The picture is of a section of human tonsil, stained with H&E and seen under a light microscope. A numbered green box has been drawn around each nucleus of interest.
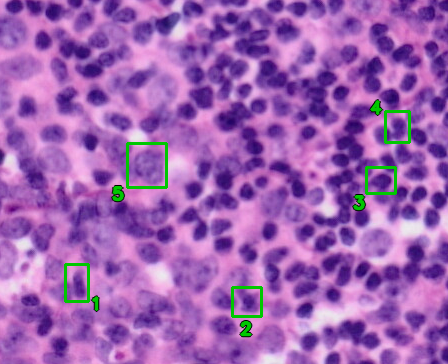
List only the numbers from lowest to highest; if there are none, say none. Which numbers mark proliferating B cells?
1, 2, 5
